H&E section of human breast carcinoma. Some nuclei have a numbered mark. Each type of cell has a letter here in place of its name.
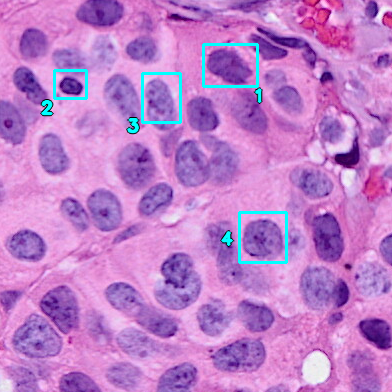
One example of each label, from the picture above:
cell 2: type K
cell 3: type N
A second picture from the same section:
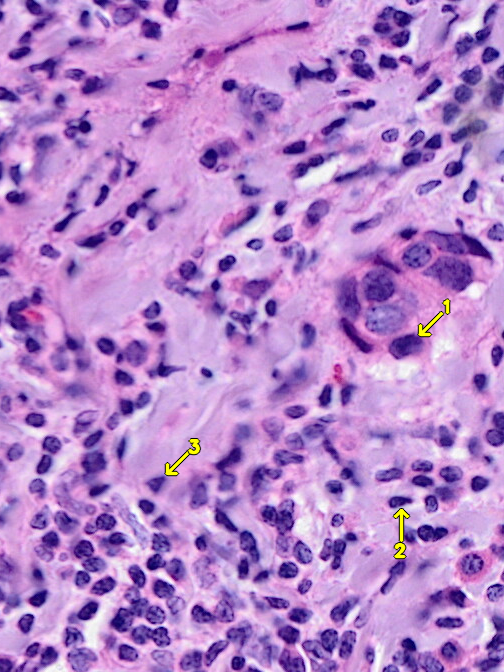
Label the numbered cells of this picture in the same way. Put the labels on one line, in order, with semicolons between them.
type N; type K; type K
